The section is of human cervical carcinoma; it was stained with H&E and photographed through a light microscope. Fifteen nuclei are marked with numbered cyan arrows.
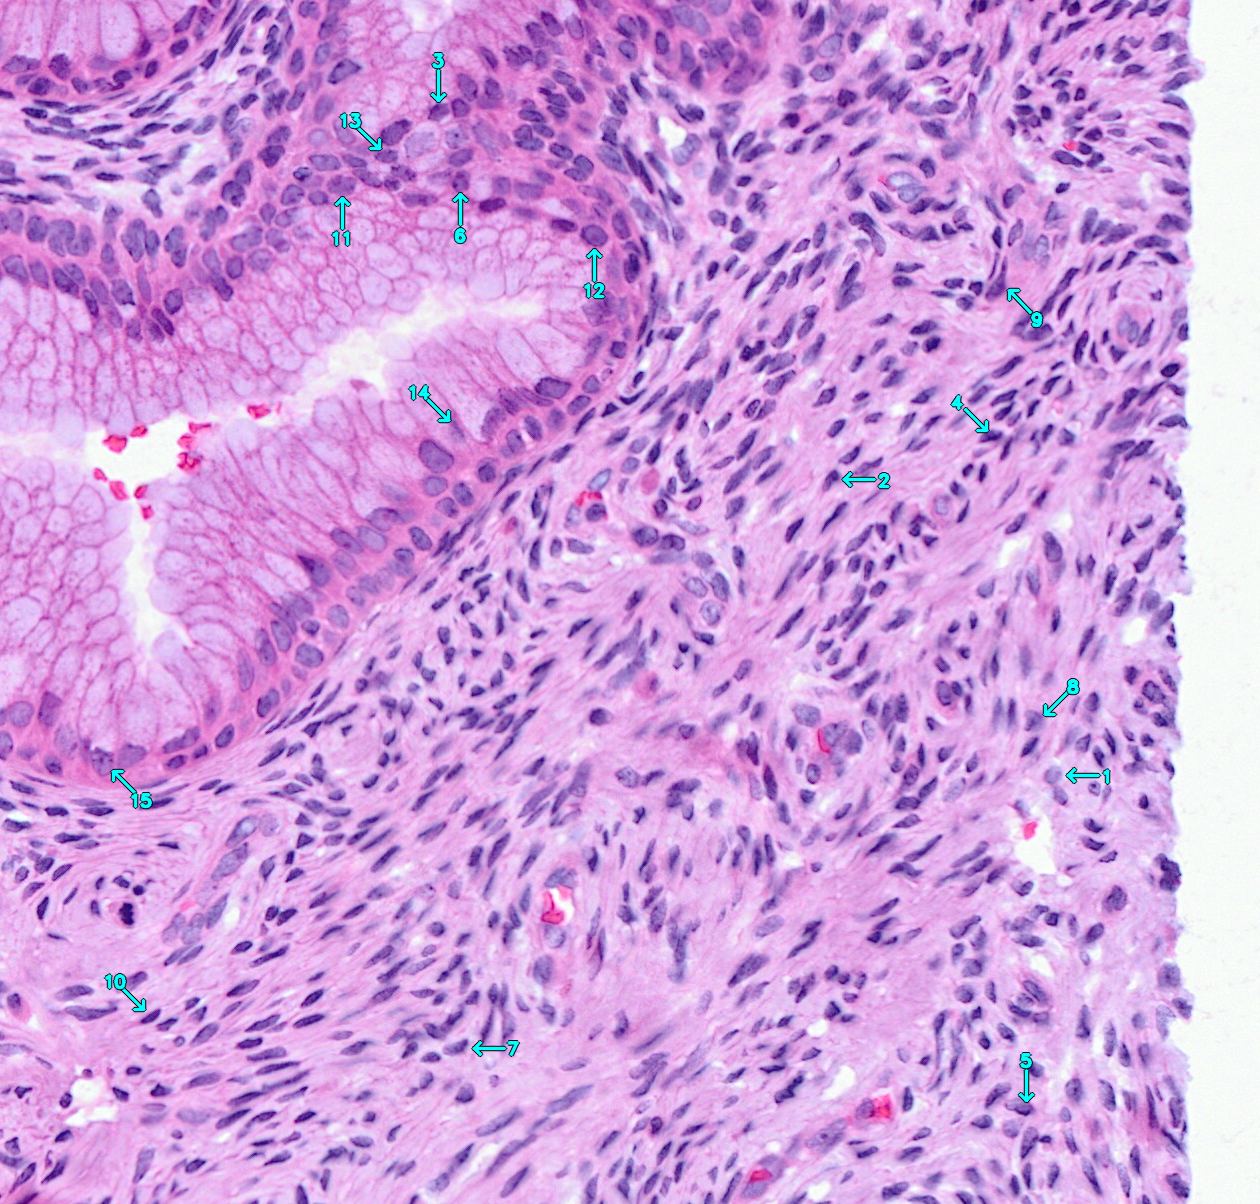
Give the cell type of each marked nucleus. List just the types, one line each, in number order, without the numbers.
fibroblast
fibroblast
secretory epithelial cell
fibroblast
fibroblast
secretory epithelial cell
fibroblast
fibroblast
fibroblast
fibroblast
secretory epithelial cell
secretory epithelial cell
secretory epithelial cell
secretory epithelial cell
secretory epithelial cell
